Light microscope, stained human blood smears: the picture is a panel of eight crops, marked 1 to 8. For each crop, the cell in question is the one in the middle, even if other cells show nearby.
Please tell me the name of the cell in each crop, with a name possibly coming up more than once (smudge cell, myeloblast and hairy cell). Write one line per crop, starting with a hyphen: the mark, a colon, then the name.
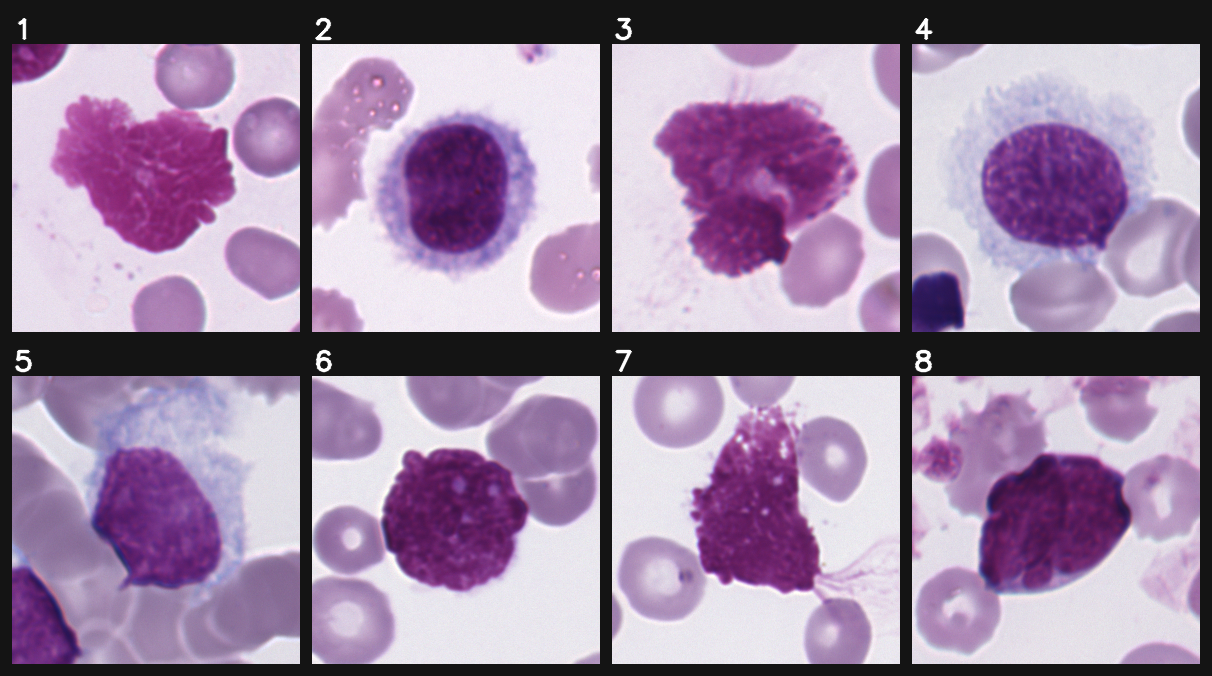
- 1: smudge cell
- 2: hairy cell
- 3: smudge cell
- 4: hairy cell
- 5: hairy cell
- 6: smudge cell
- 7: smudge cell
- 8: myeloblast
